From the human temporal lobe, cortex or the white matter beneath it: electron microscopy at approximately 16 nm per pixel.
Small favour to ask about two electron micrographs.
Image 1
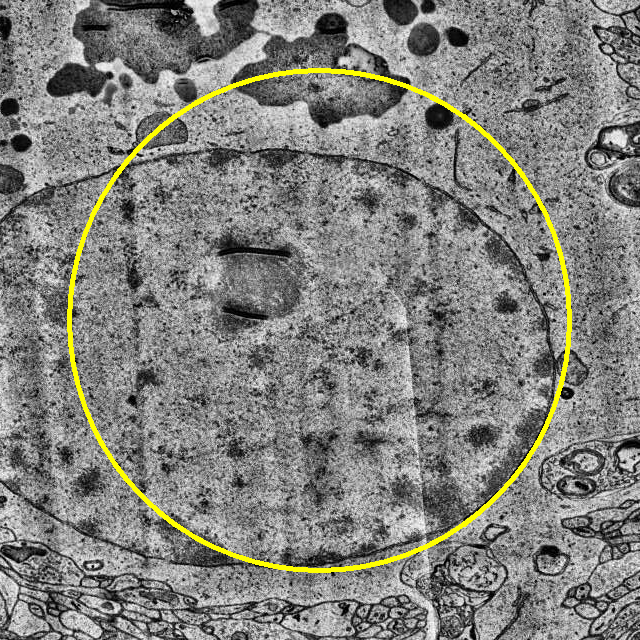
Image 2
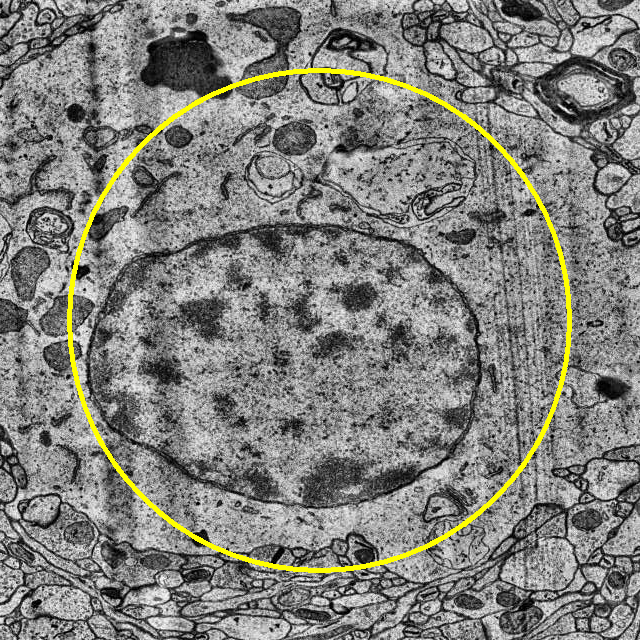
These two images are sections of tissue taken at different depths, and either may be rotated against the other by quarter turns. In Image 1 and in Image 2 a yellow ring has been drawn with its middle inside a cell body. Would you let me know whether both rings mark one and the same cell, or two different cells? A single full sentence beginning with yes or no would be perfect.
Yes, the rings do not mark different cells but one cell.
